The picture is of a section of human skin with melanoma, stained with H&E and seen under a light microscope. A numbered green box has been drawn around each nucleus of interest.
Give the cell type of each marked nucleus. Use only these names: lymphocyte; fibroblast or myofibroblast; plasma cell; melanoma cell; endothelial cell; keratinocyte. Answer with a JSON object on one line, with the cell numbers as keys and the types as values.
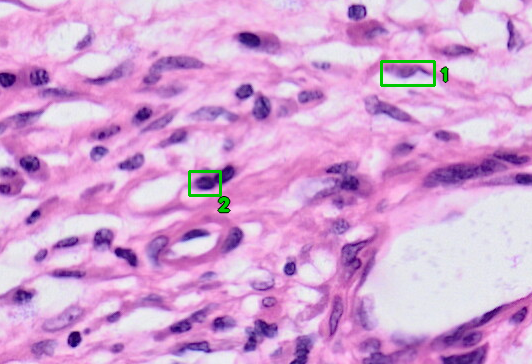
{"1": "fibroblast or myofibroblast", "2": "plasma cell"}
